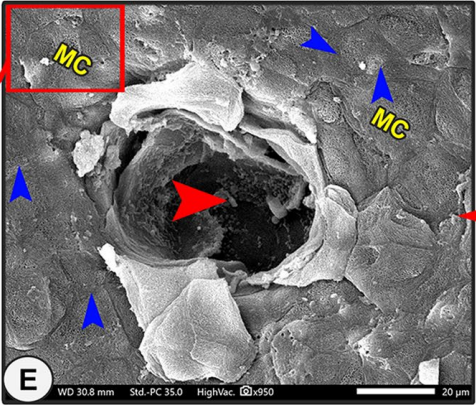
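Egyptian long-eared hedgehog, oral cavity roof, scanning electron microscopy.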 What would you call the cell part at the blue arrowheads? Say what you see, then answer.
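Border. The blue arrowheads lie at the edges between flat polygonal surface cells.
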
